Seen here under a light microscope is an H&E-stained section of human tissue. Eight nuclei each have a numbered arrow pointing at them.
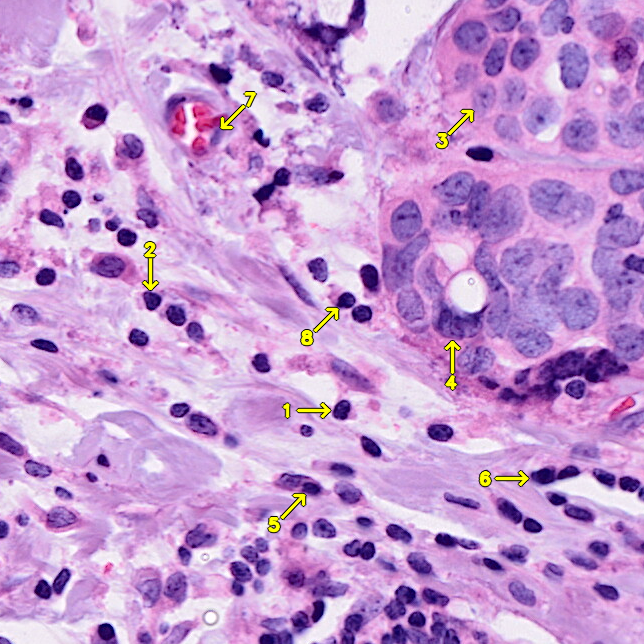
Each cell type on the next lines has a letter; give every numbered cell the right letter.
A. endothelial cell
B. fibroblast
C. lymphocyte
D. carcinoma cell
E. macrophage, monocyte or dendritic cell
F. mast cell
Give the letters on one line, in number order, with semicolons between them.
C; C; D; D; C; C; A; C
